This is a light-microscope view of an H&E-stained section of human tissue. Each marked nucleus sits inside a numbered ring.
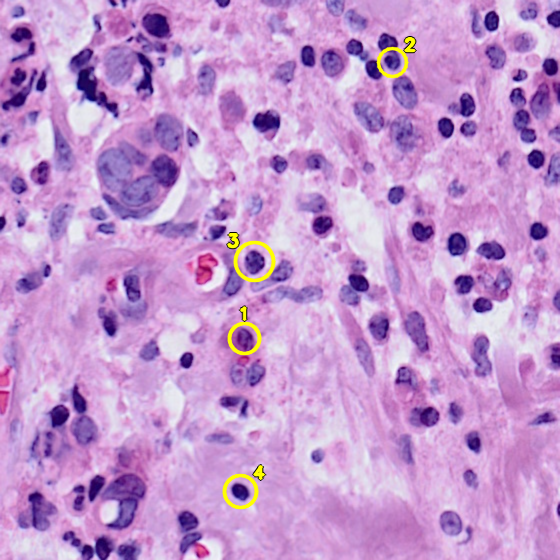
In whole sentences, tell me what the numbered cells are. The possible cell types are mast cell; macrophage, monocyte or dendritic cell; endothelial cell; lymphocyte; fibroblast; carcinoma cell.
Cell 1 is an endothelial cell, cell 2 is a lymphocyte, cell 3 is a lymphocyte and cell 4 is a lymphocyte.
